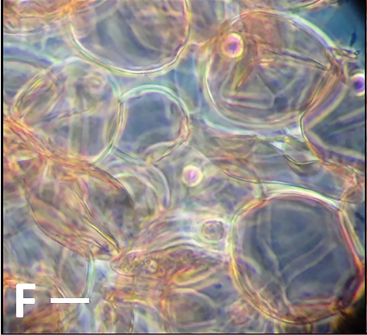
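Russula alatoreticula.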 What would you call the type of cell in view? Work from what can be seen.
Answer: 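Large rounded, inflated cells with thin walls. The cells lie packed against one another.
Sphaerocytes.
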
